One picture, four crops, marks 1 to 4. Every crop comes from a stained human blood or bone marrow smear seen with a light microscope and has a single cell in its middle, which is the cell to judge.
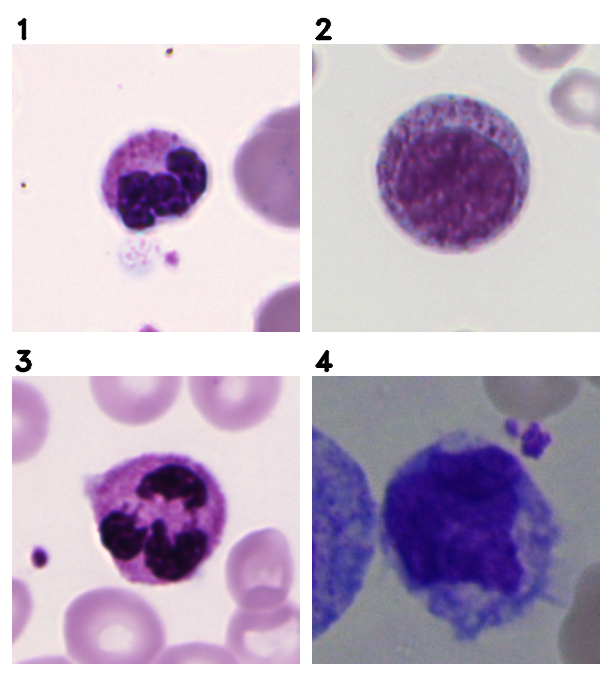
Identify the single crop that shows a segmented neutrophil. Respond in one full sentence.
Crop 3, and no other, is the one that shows a segmented neutrophil.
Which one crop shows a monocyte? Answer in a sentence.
So the crop with a monocyte at its center is crop 4.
